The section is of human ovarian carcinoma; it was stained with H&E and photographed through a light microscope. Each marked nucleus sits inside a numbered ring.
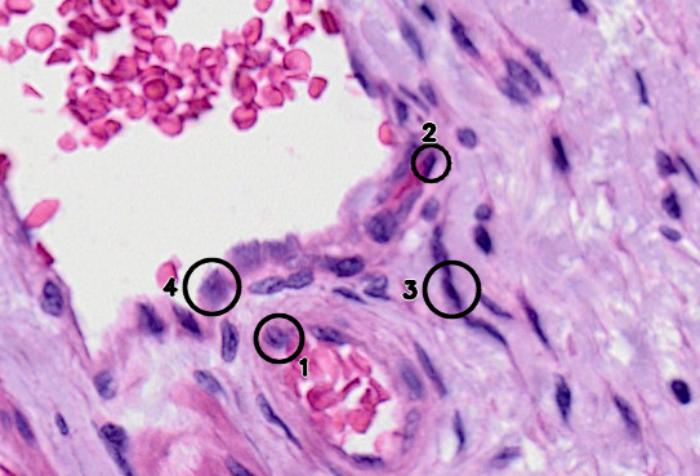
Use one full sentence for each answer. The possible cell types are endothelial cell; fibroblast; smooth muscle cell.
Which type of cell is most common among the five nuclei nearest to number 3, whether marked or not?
Of the five nuclei nearest to number 3, most belong to fibroblasts.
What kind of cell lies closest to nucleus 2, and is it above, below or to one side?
Lying above and to the left of nucleus 2, the nearest nucleus is that of an endothelial cell.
